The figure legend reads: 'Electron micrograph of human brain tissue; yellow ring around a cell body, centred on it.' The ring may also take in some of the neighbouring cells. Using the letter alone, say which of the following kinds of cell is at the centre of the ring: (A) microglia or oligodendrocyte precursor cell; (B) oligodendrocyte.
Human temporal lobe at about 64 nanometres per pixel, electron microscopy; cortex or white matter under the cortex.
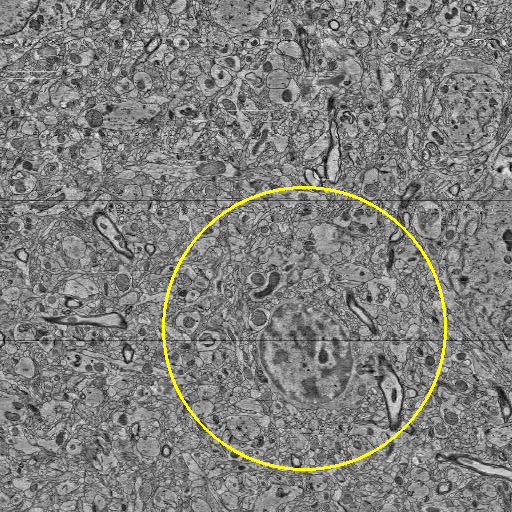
B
